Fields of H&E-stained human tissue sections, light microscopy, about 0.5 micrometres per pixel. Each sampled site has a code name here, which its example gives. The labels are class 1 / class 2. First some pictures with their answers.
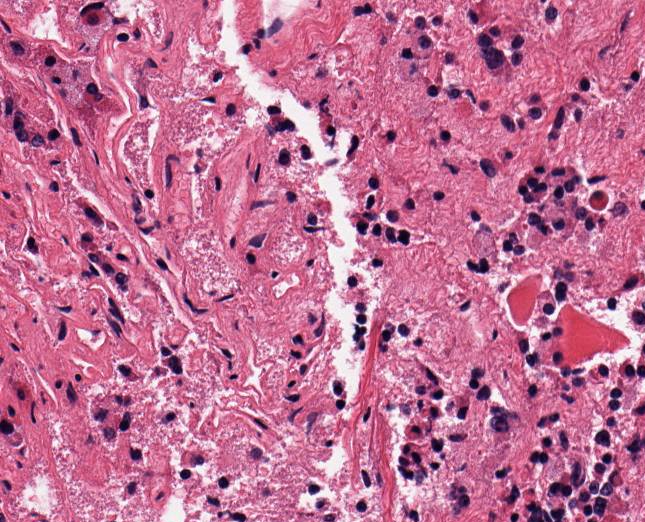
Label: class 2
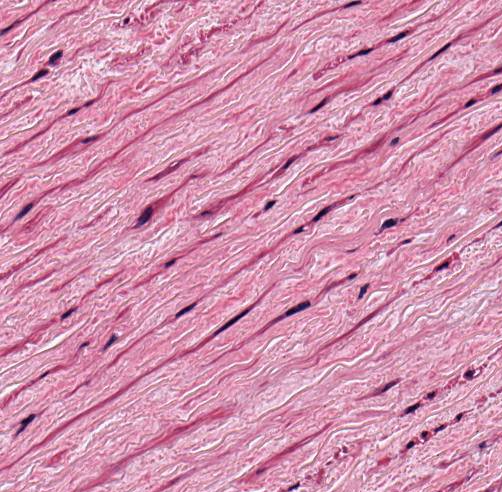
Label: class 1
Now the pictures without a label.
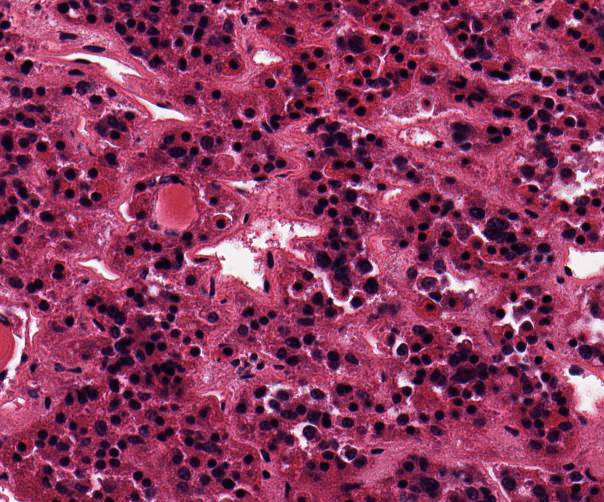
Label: class 2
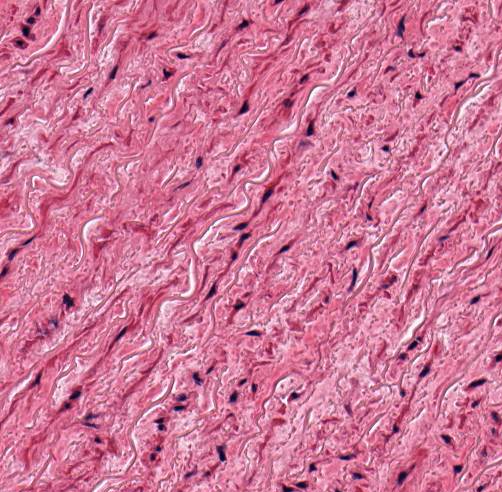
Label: class 1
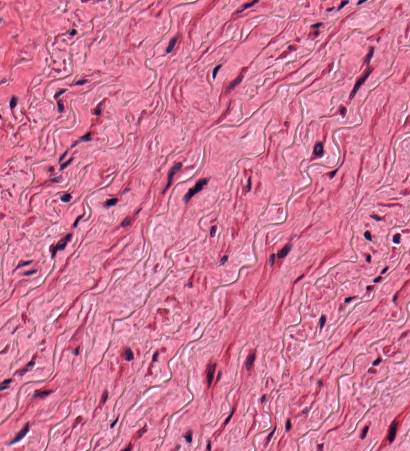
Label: class 1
